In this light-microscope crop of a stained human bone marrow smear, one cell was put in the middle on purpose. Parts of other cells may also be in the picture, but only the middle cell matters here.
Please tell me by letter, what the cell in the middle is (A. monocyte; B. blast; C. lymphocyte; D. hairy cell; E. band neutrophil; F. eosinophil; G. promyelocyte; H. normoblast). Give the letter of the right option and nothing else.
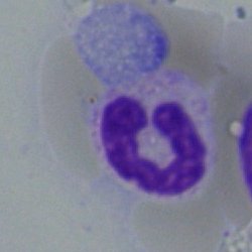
E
